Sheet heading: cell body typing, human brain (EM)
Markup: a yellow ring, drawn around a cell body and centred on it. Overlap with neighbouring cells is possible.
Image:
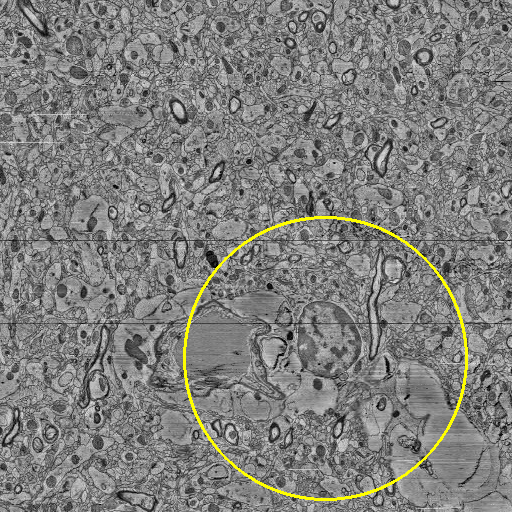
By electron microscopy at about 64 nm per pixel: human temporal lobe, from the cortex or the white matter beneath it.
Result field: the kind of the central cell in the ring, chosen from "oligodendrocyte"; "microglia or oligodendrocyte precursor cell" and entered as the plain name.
microglia or oligodendrocyte precursor cell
